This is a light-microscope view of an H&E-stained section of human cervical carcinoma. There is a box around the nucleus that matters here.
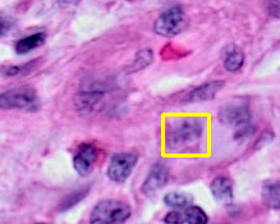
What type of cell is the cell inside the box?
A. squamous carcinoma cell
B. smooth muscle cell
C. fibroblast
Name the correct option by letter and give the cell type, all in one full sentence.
The correct option here, C, identifies the cell inside the box as a fibroblast.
